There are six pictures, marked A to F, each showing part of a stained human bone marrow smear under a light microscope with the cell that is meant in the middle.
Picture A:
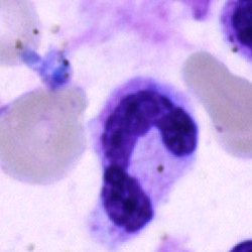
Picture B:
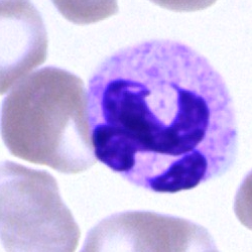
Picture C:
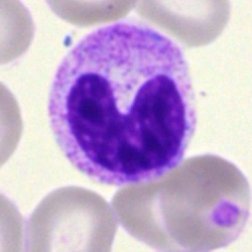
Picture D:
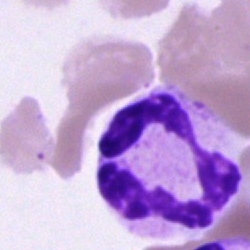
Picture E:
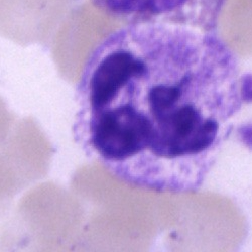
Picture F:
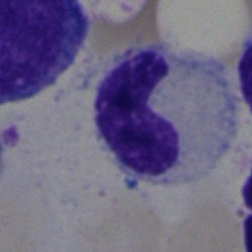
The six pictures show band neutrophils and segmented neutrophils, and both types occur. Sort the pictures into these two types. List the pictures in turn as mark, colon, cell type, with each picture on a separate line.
A: segmented neutrophil
B: segmented neutrophil
C: band neutrophil
D: segmented neutrophil
E: segmented neutrophil
F: band neutrophil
